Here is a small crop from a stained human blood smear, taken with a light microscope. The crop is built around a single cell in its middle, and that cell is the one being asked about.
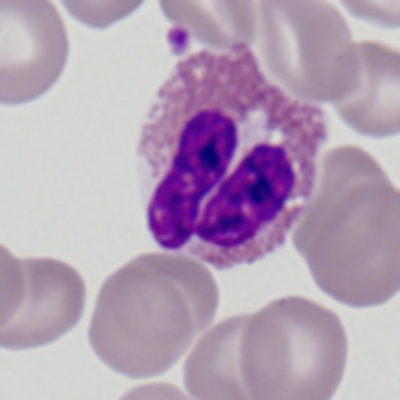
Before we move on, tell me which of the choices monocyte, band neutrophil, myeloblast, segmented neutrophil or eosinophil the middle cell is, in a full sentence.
The target cell in the middle of the crop is an eosinophil.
